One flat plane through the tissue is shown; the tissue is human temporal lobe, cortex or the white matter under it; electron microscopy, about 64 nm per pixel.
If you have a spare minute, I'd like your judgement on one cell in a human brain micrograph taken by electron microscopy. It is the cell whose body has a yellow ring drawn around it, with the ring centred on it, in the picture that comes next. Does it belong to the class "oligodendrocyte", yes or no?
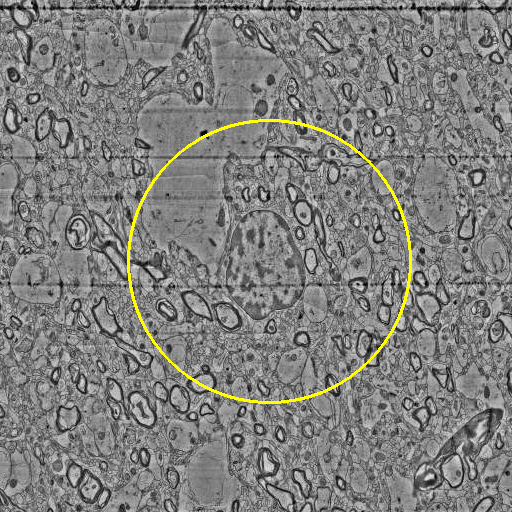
No, it belongs to another class.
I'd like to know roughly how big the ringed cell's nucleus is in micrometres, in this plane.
The nucleus comes to roughly 7 by 6 micrometres in this plane.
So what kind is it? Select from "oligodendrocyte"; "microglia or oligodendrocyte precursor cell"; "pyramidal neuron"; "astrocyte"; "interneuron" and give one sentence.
Here, the ring is centred on a microglial cell or oligodendrocyte precursor cell instead.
